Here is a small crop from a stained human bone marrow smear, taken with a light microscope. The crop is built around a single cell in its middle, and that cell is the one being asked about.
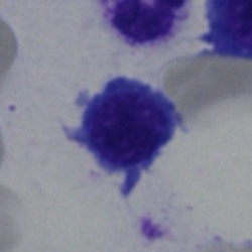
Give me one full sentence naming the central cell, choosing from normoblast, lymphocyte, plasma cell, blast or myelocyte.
The cell at the central position in this crop is a normoblast.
